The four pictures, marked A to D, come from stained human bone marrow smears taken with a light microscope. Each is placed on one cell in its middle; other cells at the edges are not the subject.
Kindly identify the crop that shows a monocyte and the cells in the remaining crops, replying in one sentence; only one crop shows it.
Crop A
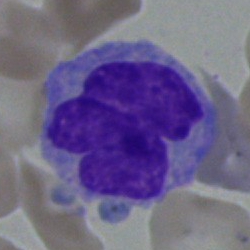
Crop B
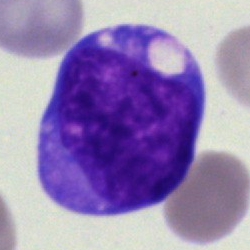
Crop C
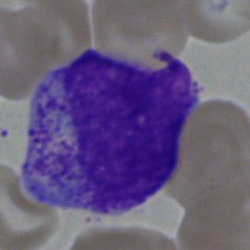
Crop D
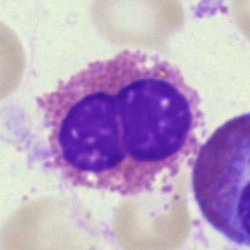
Here crop A shows a monocyte, while crop B is a blast, crop C is a myelocyte and crop D is an eosinophil.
